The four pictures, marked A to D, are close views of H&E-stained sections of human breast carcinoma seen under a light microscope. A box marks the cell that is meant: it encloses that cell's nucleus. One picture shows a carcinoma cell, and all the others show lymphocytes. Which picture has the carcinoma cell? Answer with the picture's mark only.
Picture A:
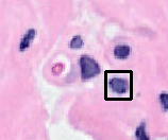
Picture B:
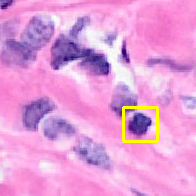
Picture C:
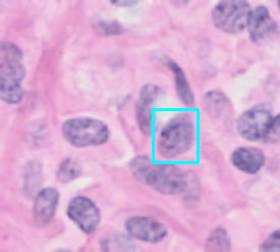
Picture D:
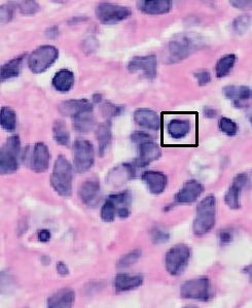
C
